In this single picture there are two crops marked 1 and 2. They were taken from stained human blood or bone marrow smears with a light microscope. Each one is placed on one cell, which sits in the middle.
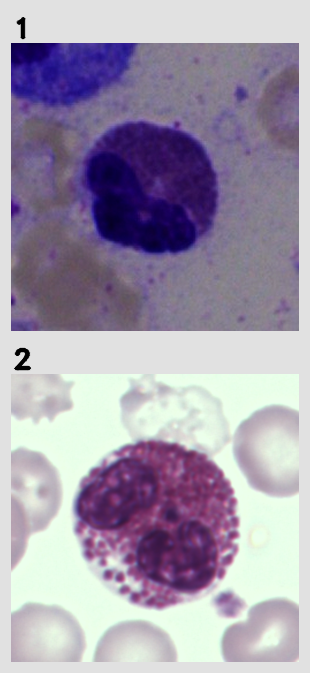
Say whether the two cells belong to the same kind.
yes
